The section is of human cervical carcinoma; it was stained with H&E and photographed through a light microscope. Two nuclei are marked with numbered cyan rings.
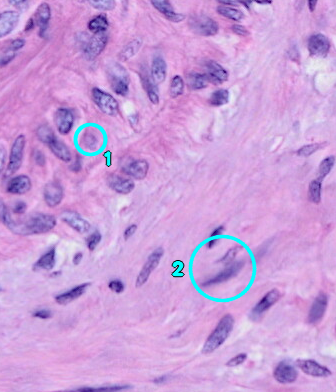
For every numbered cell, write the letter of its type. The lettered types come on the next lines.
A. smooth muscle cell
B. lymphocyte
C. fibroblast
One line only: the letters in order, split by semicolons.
A; C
